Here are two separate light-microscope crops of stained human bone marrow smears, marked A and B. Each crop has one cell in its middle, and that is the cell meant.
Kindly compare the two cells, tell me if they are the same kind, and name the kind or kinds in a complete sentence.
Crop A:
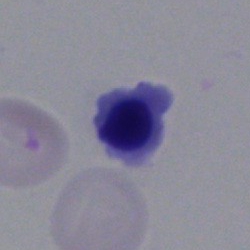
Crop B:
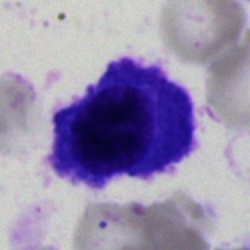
No, the correct reading is a normoblast in crop A and a plasma cell in crop B.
